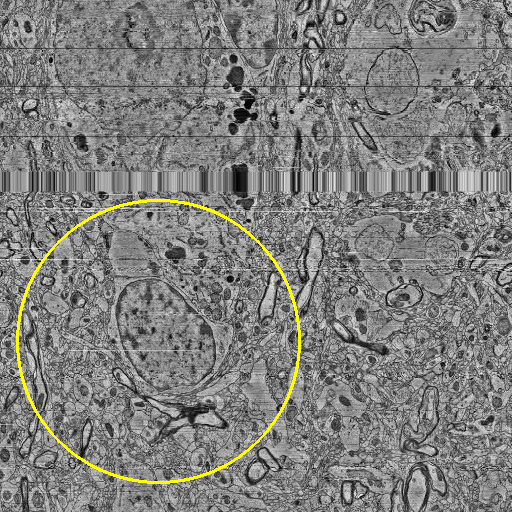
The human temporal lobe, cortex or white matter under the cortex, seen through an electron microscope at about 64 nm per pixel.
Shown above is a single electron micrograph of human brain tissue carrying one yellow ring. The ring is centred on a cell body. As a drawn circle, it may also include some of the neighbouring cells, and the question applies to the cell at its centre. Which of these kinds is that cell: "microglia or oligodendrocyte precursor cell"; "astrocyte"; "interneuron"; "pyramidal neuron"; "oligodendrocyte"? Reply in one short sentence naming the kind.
The cell marked by the ring is a microglial cell or oligodendrocyte precursor cell.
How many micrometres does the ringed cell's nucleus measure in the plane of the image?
In this plane the nucleus is roughly 8 by 5 micrometres, clearly longer than it is wide.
